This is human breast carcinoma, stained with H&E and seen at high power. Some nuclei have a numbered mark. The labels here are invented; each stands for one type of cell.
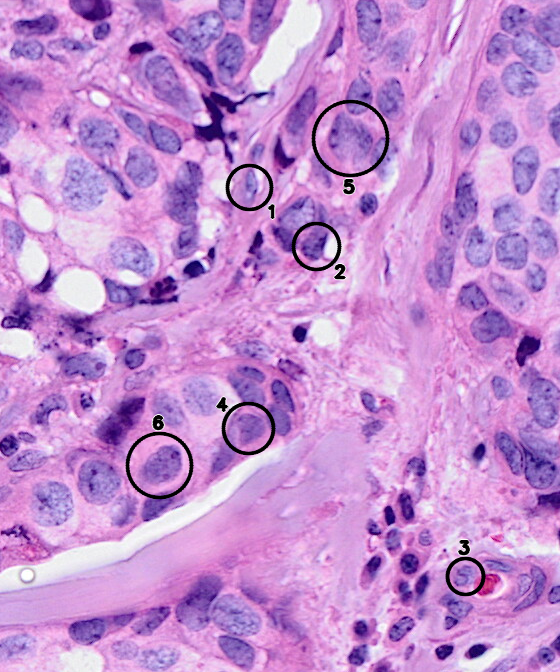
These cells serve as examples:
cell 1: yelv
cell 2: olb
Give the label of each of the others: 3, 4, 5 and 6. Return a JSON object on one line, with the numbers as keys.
{"3": "yelv", "4": "olb", "5": "olb", "6": "olb"}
